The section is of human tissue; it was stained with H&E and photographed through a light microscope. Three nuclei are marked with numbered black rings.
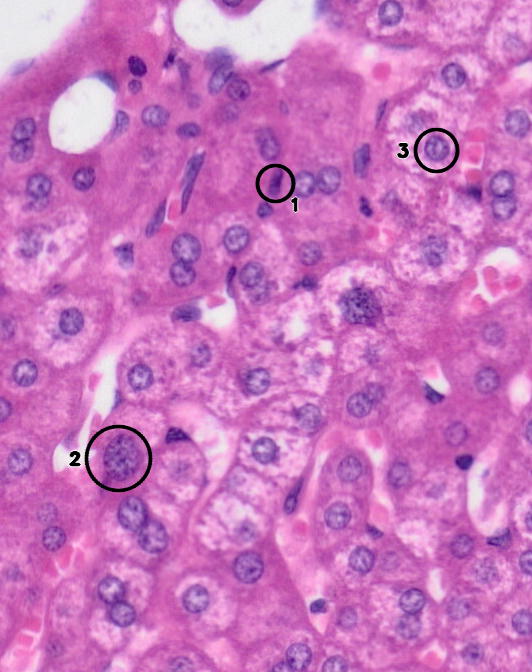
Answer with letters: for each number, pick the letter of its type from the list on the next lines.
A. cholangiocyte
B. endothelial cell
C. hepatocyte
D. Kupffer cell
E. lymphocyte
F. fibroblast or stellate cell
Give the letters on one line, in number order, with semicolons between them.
F; C; C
